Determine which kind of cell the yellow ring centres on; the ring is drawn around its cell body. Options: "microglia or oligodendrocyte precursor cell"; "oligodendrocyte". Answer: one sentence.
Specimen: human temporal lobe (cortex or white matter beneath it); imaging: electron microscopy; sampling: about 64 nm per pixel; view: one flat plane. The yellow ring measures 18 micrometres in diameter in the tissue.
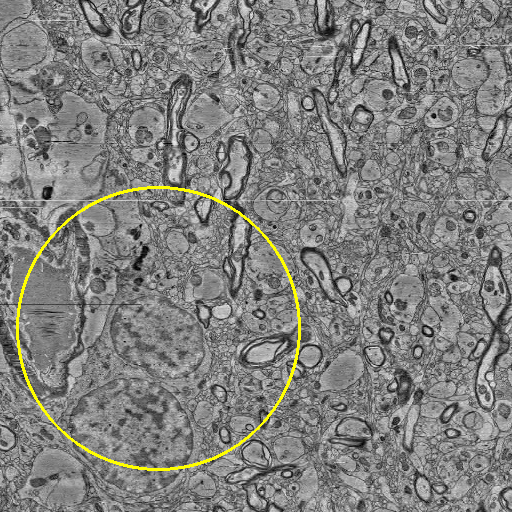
The ring centres on an oligodendrocyte.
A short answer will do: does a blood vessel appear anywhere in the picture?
Yes, a blood vessel shows in the picture.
